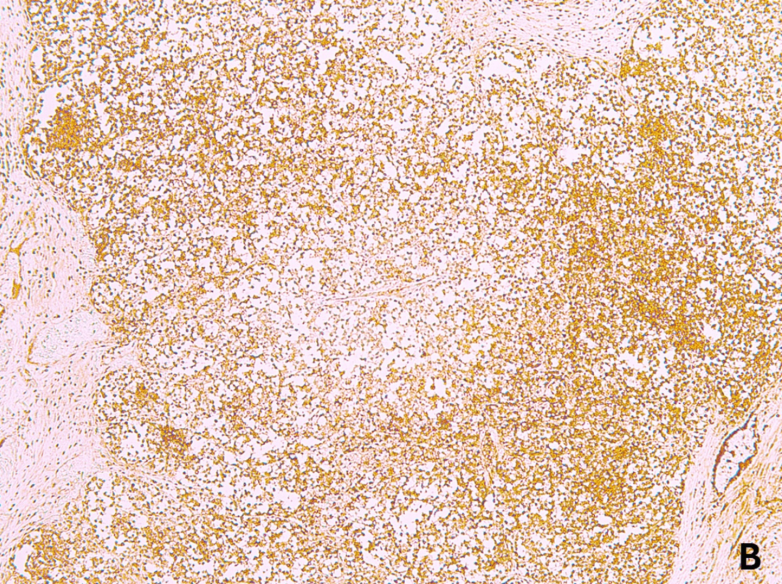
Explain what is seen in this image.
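This low-power field shows a tumour of crowded, small round neoplastic cells. The tumour cells stain brown. The stain is denser in some patches and paler toward the centre of the field. Pale pink fibrous stroma runs along the left margin, and at the lower right it contains a vessel. Thin strands of connective tissue pass through the sheet of tumour cells.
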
